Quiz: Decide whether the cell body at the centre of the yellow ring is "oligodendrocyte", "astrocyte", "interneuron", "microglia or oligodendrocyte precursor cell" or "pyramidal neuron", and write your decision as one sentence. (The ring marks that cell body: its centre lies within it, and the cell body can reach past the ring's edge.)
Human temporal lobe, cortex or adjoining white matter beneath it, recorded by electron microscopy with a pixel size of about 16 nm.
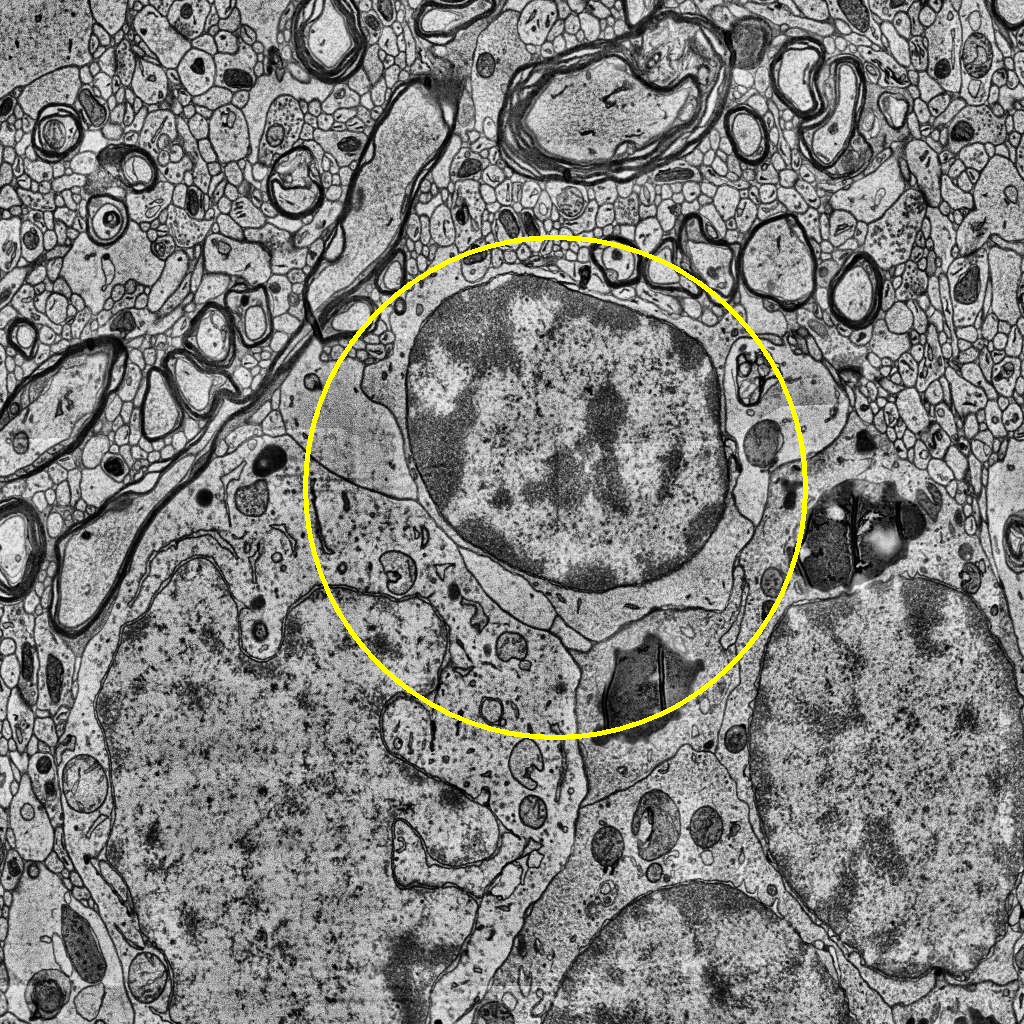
The cell holding the ring's centre is a microglial cell or oligodendrocyte precursor cell.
